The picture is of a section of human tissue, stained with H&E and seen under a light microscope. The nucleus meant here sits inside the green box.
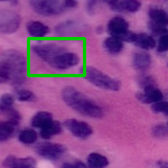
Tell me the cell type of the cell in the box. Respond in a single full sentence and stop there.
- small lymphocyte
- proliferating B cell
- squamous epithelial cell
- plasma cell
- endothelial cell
Histopathologically, the cell in the box is an endothelial cell.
